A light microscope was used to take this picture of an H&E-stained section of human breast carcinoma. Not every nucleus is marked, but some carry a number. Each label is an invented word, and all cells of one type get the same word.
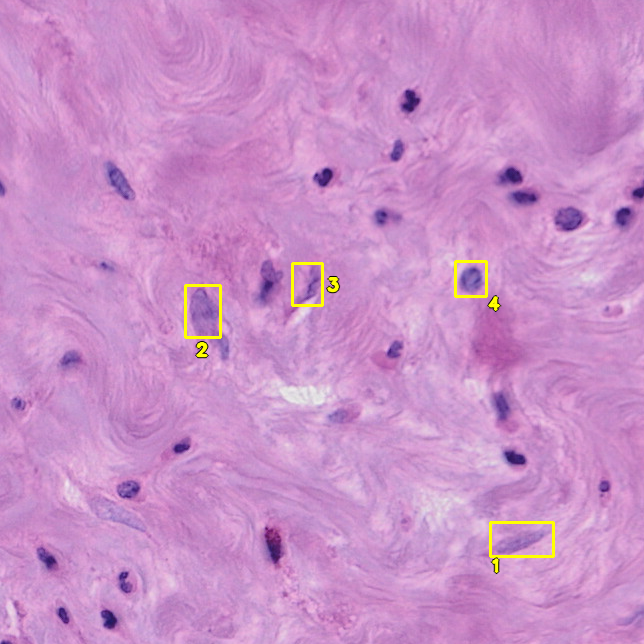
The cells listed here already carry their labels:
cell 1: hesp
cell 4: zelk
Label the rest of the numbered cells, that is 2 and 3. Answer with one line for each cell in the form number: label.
2: hesp
3: hesp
